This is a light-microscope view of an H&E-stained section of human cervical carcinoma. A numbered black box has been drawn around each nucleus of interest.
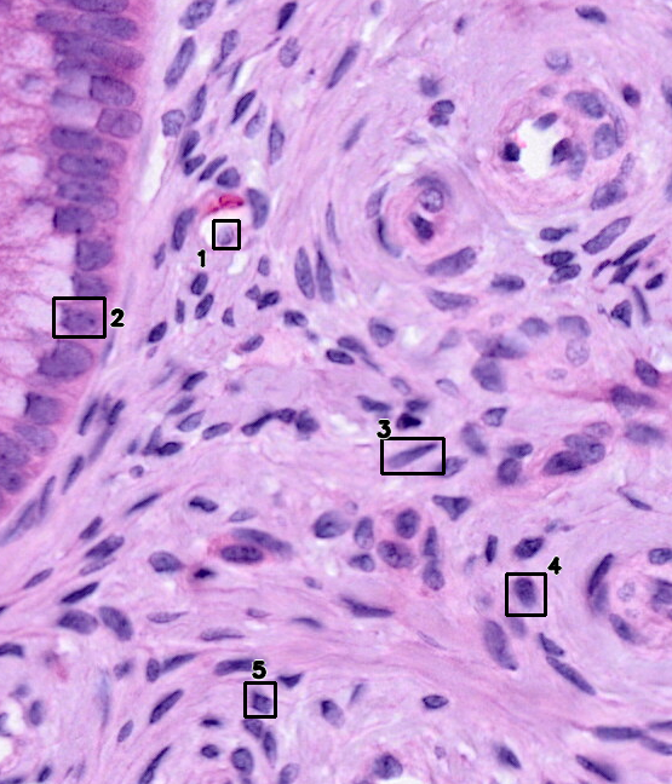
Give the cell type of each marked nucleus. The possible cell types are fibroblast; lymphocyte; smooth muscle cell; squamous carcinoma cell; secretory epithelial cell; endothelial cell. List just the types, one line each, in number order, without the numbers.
endothelial cell
secretory epithelial cell
fibroblast
fibroblast
fibroblast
